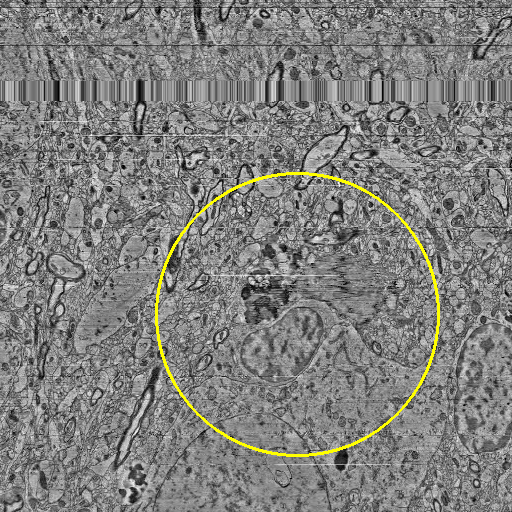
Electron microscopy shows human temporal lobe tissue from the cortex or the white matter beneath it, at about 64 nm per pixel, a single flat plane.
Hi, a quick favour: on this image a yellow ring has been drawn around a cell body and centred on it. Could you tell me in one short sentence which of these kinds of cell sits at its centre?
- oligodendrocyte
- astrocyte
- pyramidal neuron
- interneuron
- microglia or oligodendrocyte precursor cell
The ring is centred on an oligodendrocyte.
